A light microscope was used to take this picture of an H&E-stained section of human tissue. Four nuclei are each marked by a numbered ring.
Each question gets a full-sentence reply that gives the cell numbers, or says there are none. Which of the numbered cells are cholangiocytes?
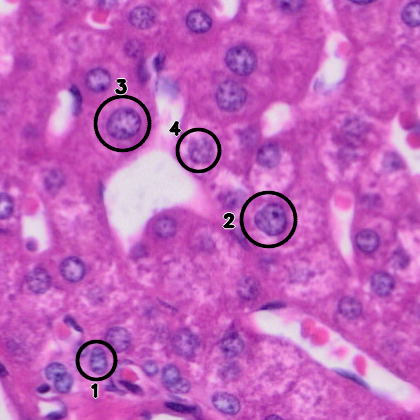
Cell 1 is a cholangiocyte; every other numbered cell is something else.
